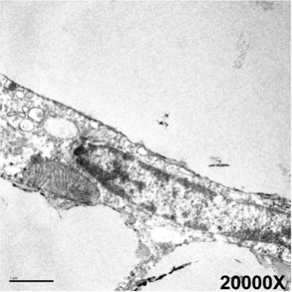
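A thin band of grey, granular cytoplasm runs diagonally across the image, bordered on both sides by wide pale, nearly featureless spaces. Within the band sits an oval, darker organelle with closely stacked internal membrane folds, and nearby lie small rounded pale vesicles.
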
